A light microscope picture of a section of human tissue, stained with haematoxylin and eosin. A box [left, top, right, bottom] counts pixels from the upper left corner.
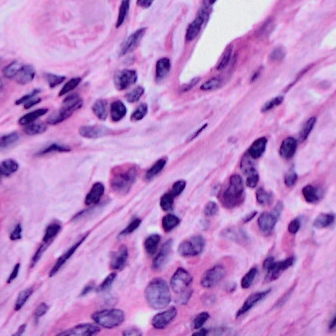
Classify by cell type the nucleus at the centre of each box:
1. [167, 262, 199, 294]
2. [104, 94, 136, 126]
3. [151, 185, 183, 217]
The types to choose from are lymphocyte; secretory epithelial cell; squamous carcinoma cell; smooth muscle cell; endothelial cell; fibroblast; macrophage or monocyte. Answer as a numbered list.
1. endothelial cell
2. lymphocyte
3. lymphocyte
